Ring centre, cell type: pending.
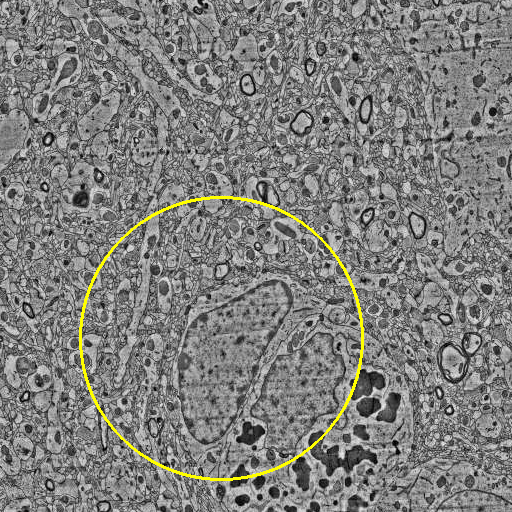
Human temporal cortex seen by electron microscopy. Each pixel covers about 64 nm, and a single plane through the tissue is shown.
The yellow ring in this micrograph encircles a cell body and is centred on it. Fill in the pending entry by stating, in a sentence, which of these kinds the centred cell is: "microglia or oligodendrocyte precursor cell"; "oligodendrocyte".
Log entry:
The centred cell is recorded as a microglial cell or oligodendrocyte precursor cell.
